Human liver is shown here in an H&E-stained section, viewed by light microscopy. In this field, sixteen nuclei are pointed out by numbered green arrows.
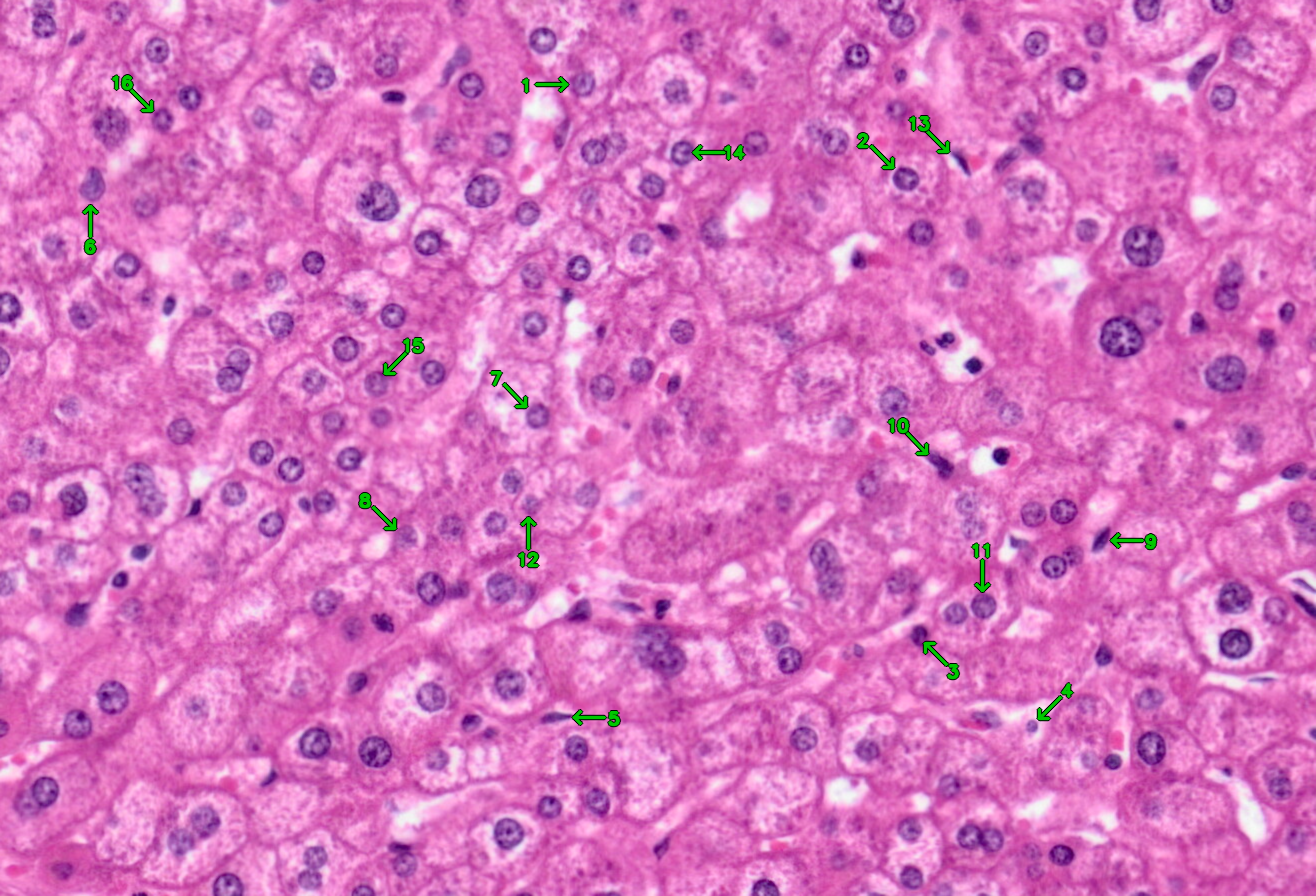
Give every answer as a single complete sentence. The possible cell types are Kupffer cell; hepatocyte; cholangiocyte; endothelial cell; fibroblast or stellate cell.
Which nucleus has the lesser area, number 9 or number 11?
Nucleus 9 is the smaller one; nucleus 11 covers about 1.5 times its area.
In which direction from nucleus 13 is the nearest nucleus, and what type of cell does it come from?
The closest nucleus belongs to a Kupffer cell and sits to the right of nucleus 13.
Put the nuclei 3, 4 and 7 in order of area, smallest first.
The order from the smallest nucleus to the largest is 4, 3, 7.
